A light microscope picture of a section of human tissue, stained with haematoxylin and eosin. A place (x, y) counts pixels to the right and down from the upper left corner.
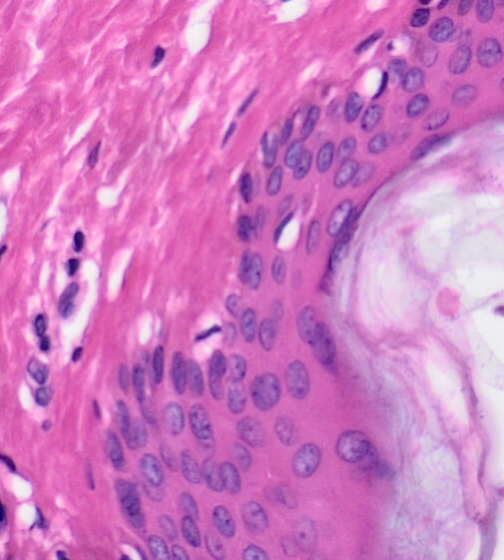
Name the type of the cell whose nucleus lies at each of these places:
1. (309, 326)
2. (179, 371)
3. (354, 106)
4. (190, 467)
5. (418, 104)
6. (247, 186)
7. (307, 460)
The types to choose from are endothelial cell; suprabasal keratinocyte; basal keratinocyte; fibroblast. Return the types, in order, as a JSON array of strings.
["suprabasal keratinocyte", "basal keratinocyte", "basal keratinocyte", "suprabasal keratinocyte", "suprabasal keratinocyte", "basal keratinocyte", "suprabasal keratinocyte"]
